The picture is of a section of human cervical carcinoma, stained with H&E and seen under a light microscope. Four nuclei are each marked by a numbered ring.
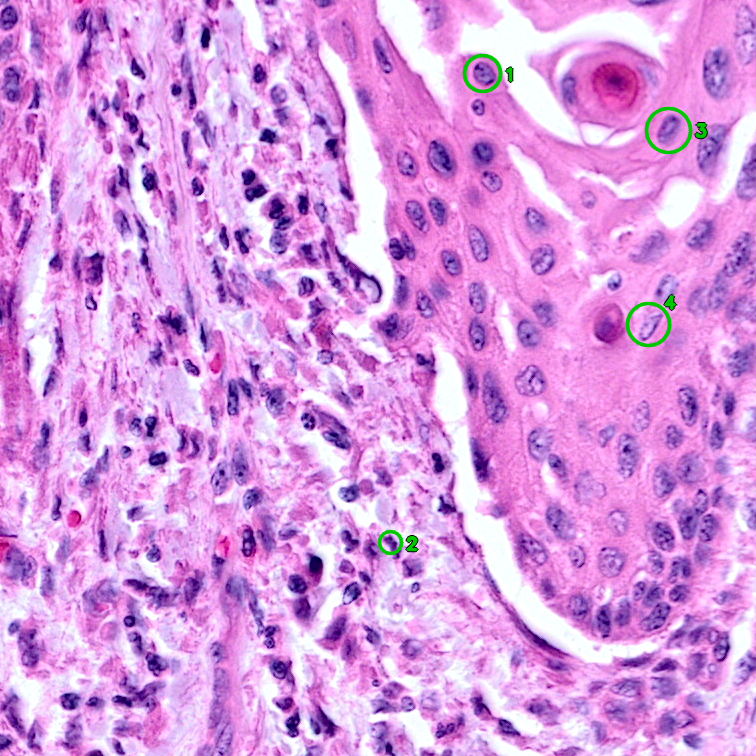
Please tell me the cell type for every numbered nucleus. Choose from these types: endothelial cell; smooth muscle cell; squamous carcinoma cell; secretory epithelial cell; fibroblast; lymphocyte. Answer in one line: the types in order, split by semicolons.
squamous carcinoma cell; fibroblast; squamous carcinoma cell; squamous carcinoma cell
